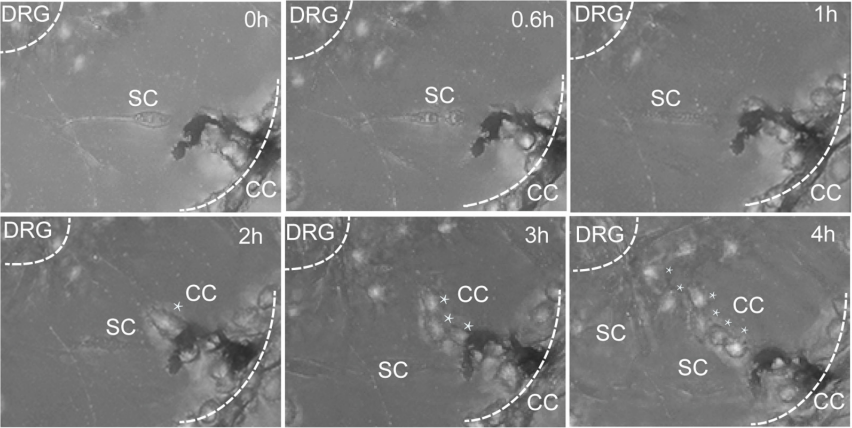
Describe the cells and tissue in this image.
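Near the larger border sit rounded cells with bright refractile rims beside a dark, irregular mass. In the later frames, rounded cells marked by small asterisks appear progressively farther from the lower-right border, lying alongside the elongated cell and moving toward the upper left.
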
